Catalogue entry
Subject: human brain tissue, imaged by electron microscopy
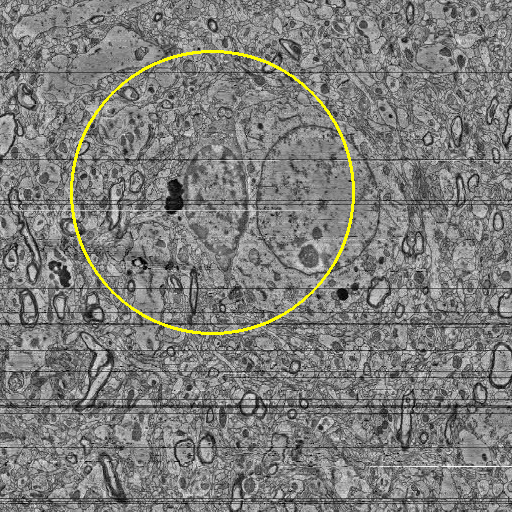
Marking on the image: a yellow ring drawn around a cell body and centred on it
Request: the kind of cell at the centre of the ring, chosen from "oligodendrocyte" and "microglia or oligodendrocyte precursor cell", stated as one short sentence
The ring has an oligodendrocyte at its centre.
